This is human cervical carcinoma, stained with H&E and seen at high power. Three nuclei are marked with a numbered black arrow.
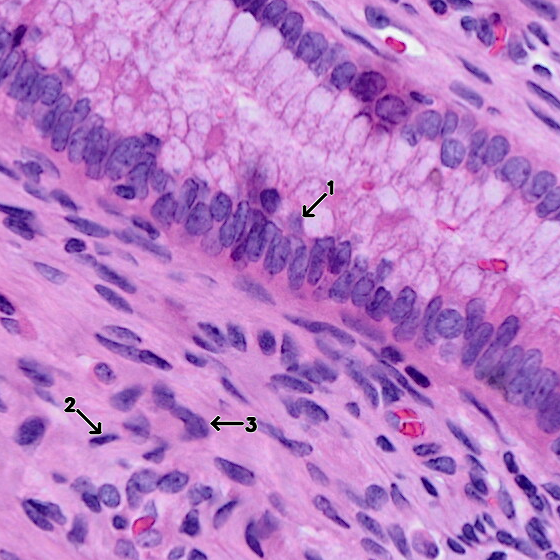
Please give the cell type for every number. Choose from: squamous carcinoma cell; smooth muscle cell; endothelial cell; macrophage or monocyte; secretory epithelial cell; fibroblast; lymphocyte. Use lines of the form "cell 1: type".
cell 1: secretory epithelial cell
cell 2: fibroblast
cell 3: fibroblast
